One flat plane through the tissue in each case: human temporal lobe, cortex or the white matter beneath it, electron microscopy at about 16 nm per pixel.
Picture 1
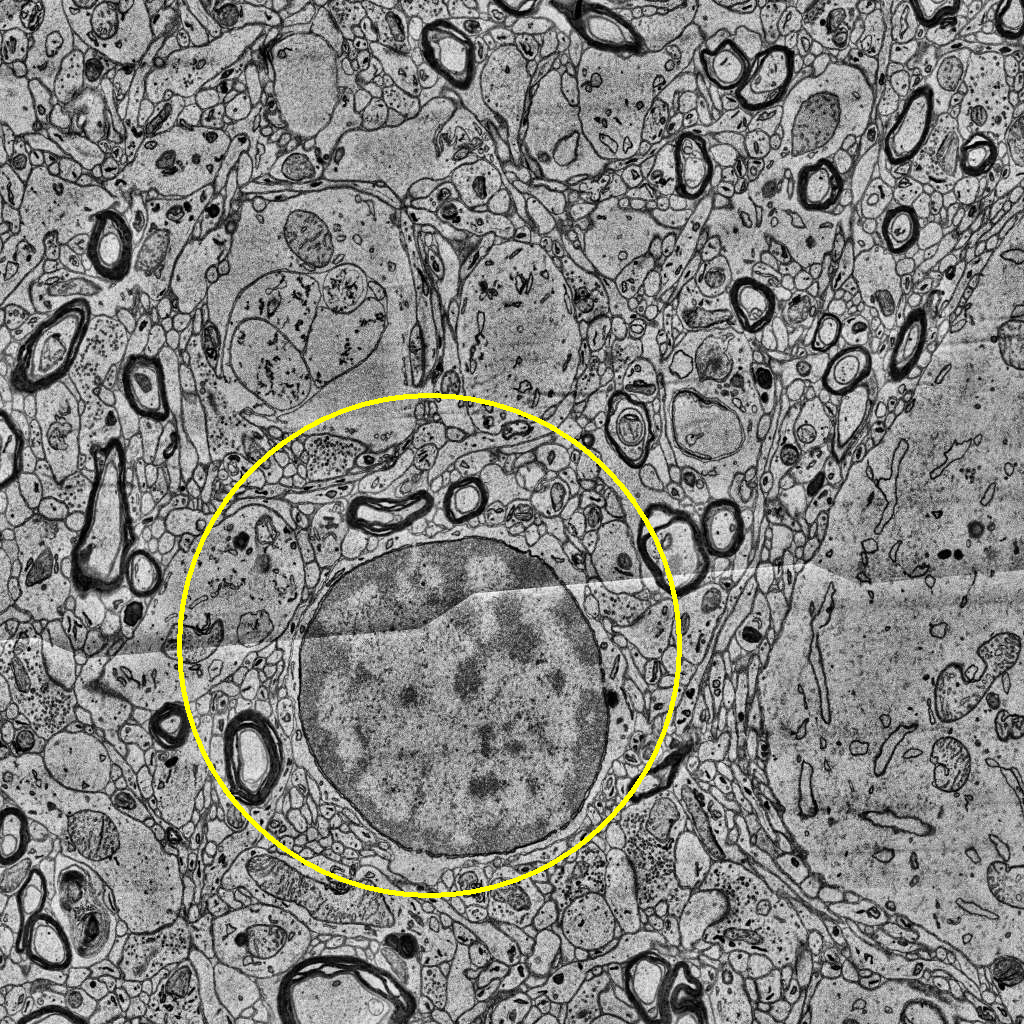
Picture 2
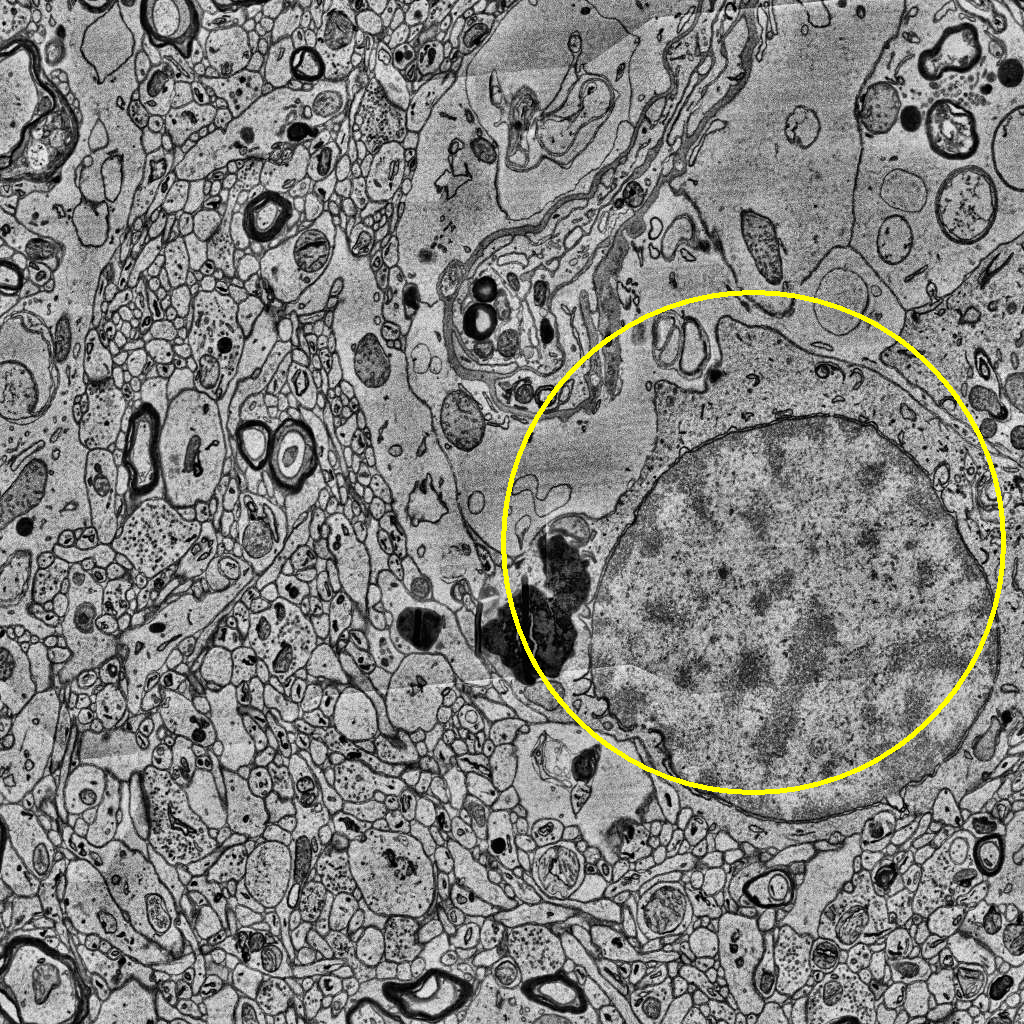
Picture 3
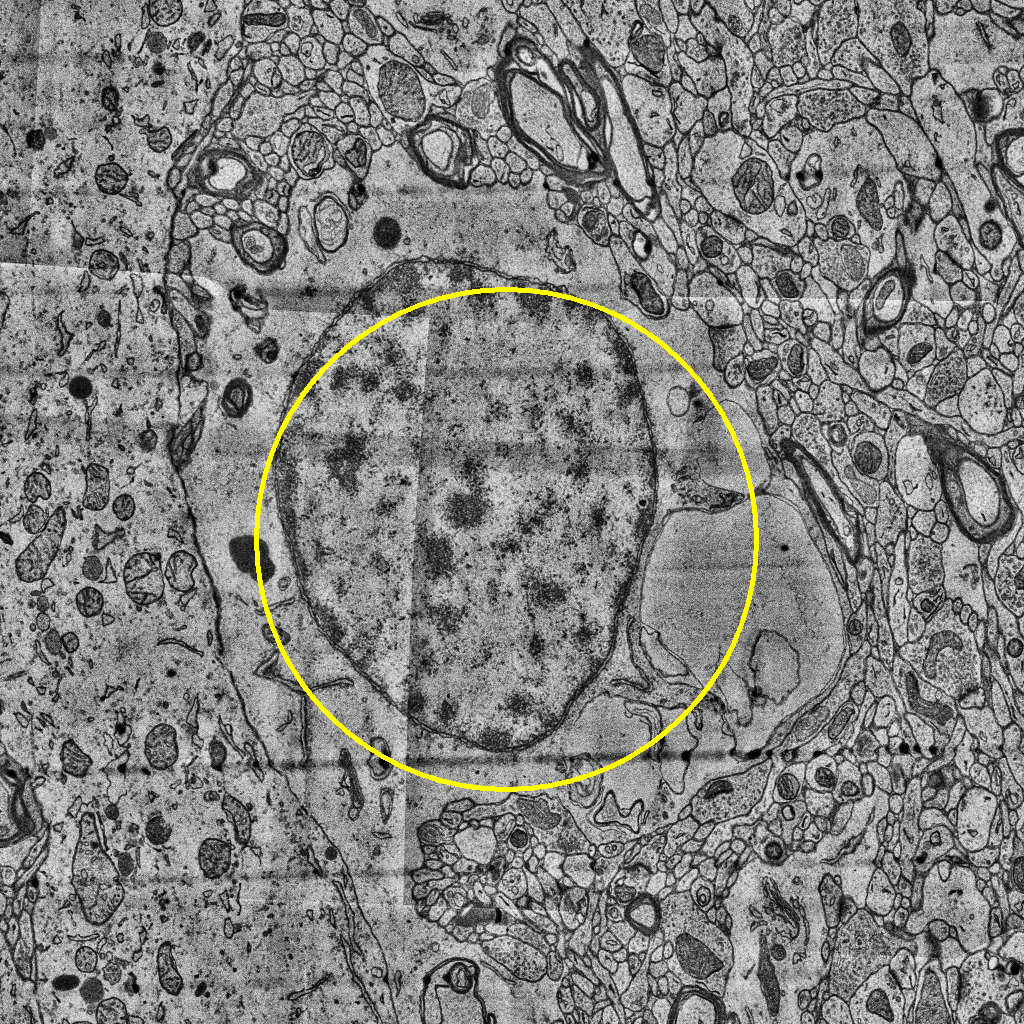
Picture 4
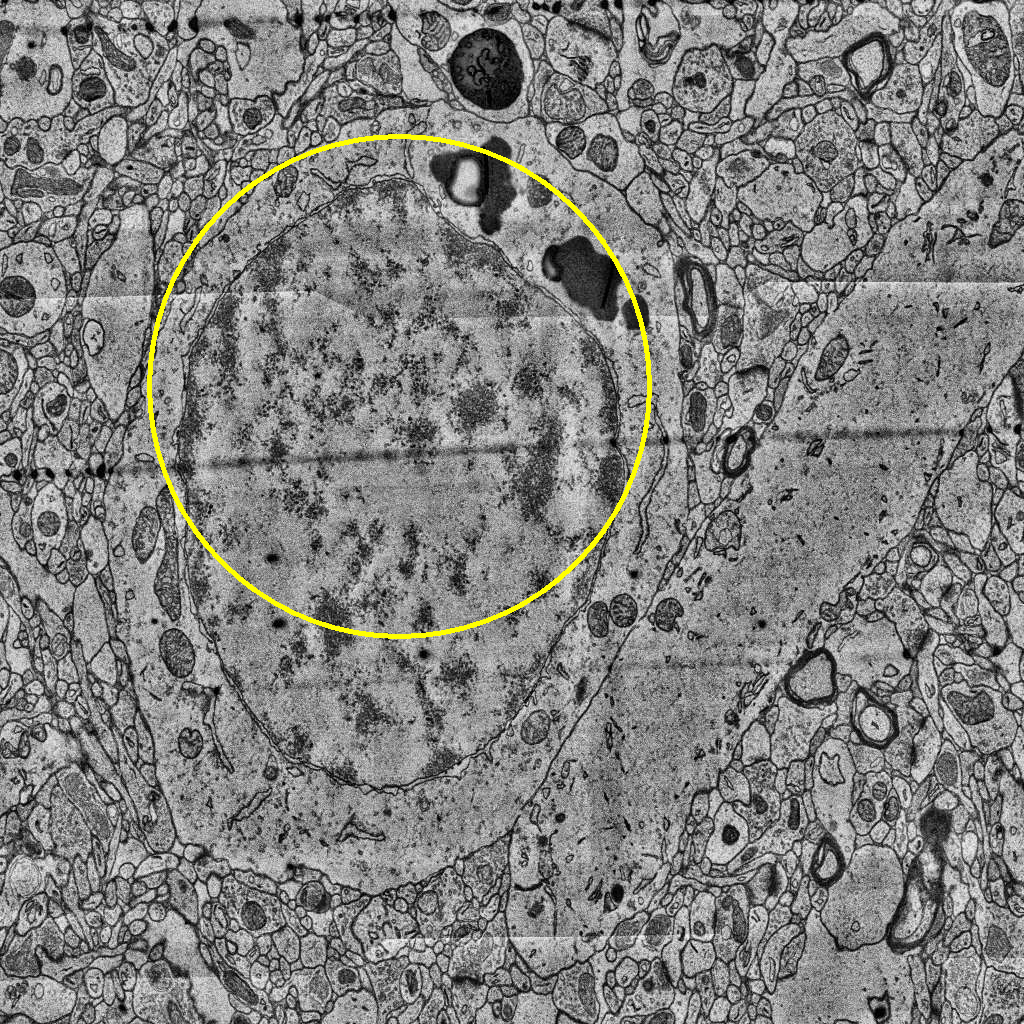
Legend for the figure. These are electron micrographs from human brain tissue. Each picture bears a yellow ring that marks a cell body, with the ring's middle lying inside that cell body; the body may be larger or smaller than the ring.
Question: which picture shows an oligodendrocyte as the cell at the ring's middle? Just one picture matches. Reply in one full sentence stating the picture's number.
It is picture 2 whose yellow ring has its centre inside the requested cell.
